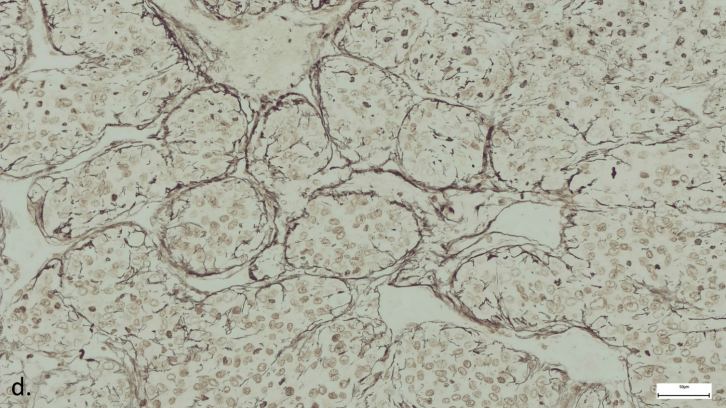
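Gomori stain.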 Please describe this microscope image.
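The framework is patchy, with some cords only partly encircled. The tumor cells show pale round nuclei packed closely together. Clear empty spaces lie between some of the nests.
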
